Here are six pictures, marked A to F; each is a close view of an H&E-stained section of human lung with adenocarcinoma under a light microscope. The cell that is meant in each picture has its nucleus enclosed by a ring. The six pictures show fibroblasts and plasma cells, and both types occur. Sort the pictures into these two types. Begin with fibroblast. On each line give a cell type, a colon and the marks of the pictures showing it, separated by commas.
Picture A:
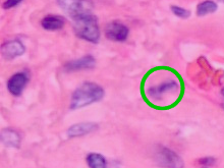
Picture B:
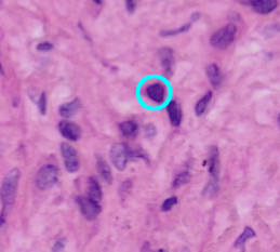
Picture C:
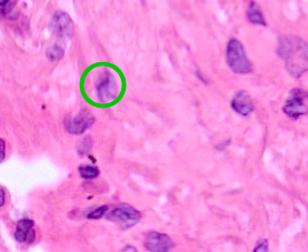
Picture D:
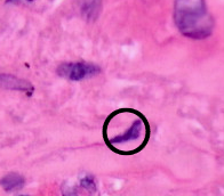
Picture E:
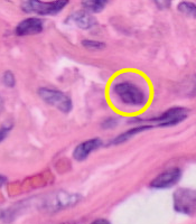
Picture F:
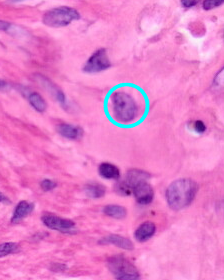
fibroblast: A, C, D, F
plasma cell: B, E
